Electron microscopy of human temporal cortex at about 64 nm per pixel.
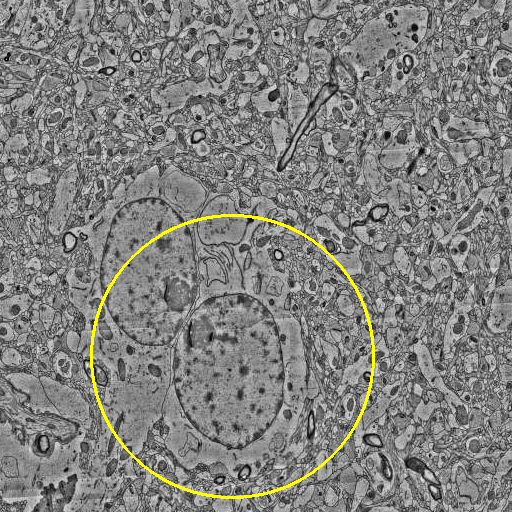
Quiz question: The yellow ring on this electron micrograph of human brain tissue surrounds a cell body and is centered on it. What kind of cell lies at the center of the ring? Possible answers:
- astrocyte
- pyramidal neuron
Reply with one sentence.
The ring's center lies on an astrocyte.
